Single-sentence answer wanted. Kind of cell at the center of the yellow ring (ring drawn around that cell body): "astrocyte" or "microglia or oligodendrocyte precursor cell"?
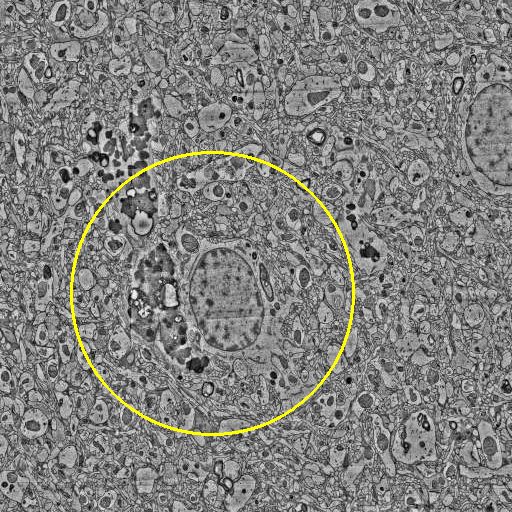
The cell centered in the ring is an astrocyte.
